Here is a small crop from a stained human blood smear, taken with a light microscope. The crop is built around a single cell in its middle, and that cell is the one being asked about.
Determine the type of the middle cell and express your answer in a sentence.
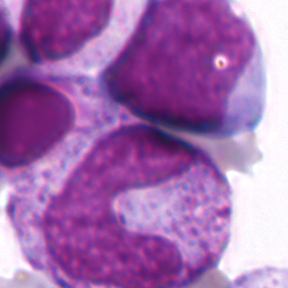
In the central position of this crop, the cell is a band neutrophil.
